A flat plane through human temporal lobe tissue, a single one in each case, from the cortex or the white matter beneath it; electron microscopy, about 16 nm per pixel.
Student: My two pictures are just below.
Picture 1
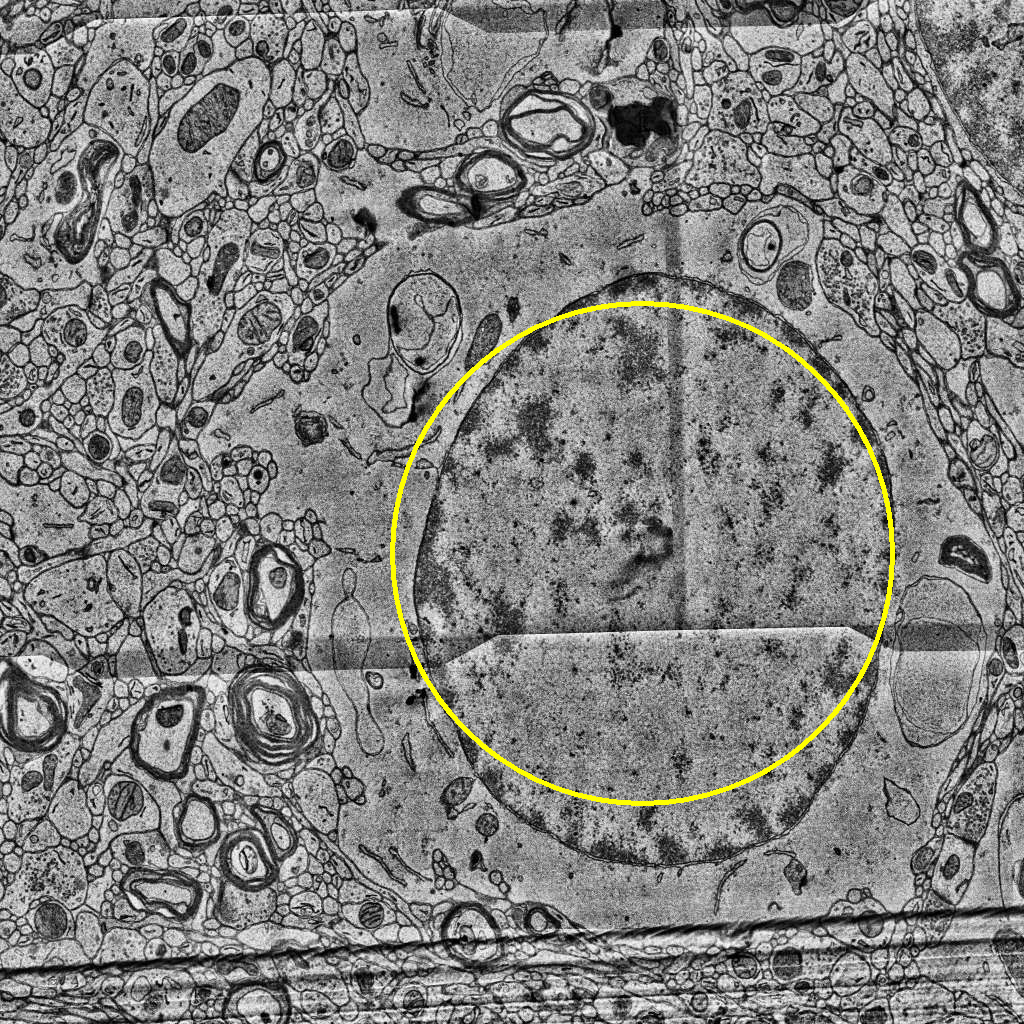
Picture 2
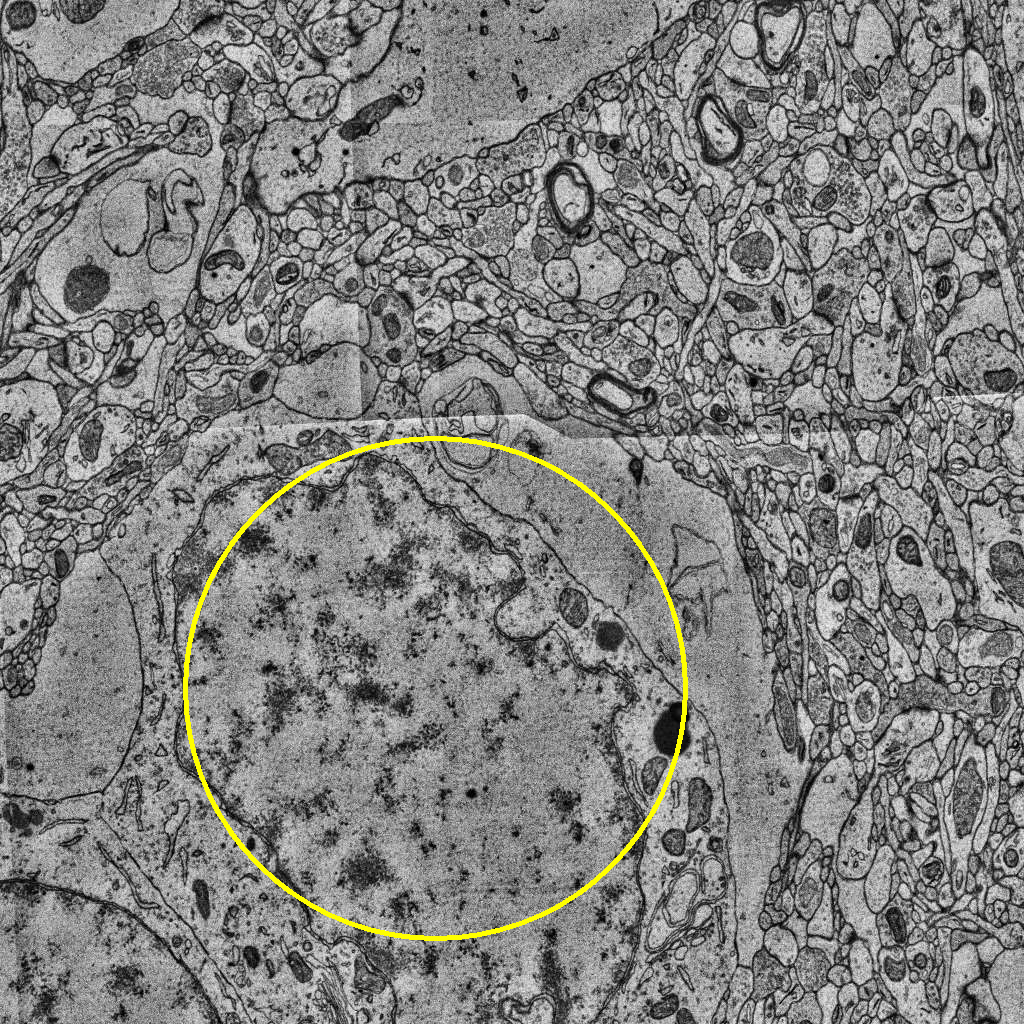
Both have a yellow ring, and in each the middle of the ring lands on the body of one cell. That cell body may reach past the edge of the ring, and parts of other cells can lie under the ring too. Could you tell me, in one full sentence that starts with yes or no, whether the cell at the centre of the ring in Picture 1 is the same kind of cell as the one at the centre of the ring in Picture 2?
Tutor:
No, the two cells are of two kinds.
